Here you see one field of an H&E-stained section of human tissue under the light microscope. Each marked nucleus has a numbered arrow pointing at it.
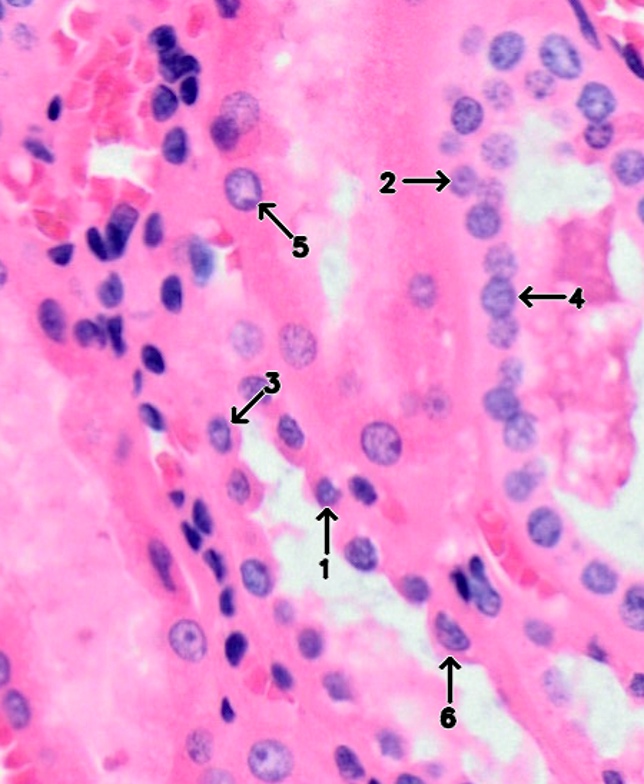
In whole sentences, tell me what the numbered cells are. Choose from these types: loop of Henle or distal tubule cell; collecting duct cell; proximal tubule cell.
Cells 1, 3 and 6 are loop of Henle or distal tubule cells. Cells 2 and 4 are collecting duct cells. Cell 5 is a proximal tubule cell.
